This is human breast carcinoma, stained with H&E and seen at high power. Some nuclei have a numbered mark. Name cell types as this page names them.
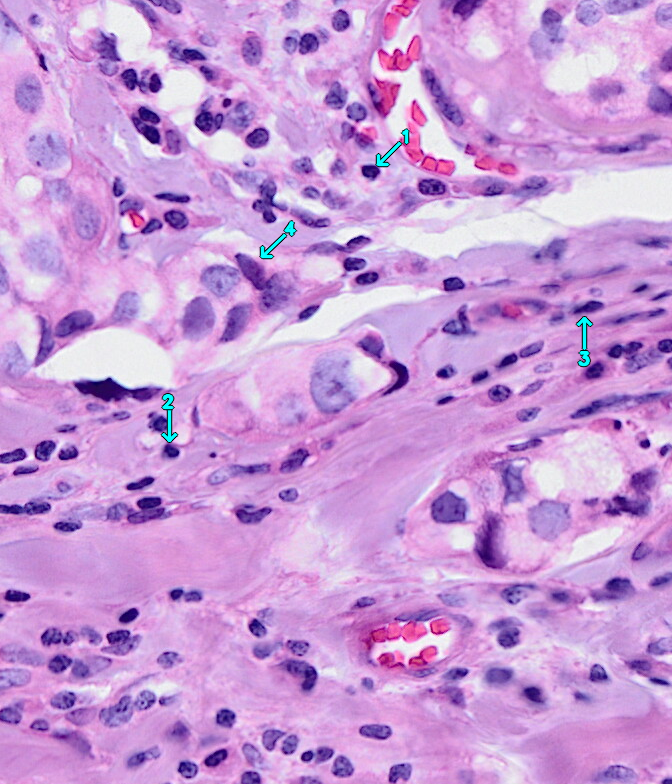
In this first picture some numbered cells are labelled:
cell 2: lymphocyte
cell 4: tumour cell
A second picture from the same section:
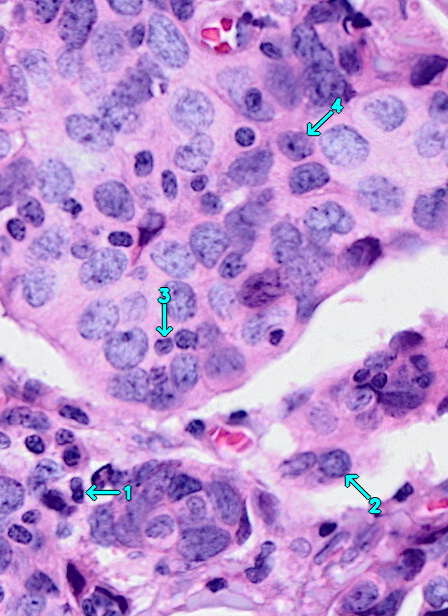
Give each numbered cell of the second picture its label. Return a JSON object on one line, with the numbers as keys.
{"1": "lymphocyte", "2": "tumour cell", "3": "lymphocyte", "4": "tumour cell"}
